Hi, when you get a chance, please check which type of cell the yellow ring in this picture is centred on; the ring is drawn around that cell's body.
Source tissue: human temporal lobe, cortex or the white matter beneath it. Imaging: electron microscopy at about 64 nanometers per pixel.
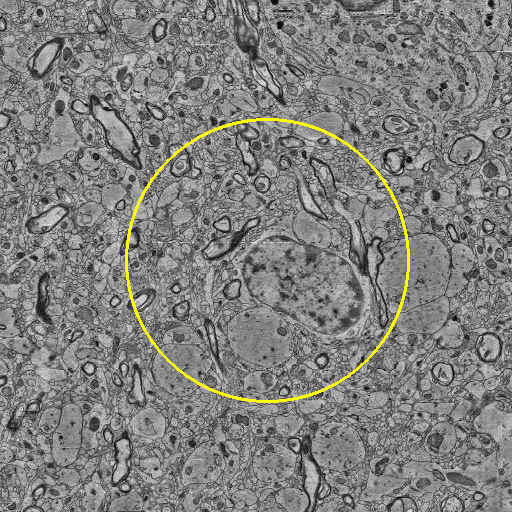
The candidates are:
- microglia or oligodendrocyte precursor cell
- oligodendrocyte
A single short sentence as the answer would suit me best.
The ring is drawn around the body of a microglial cell or oligodendrocyte precursor cell.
